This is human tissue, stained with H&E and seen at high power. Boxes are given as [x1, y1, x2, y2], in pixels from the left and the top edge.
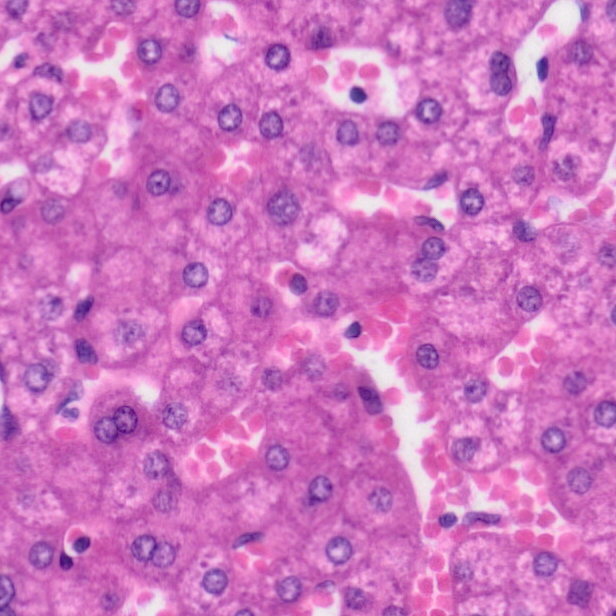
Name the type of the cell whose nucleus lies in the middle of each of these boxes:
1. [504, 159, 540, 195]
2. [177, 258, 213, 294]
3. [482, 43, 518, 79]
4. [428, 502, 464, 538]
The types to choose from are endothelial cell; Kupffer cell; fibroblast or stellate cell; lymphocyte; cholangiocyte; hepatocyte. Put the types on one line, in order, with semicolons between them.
hepatocyte; hepatocyte; hepatocyte; lymphocyte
